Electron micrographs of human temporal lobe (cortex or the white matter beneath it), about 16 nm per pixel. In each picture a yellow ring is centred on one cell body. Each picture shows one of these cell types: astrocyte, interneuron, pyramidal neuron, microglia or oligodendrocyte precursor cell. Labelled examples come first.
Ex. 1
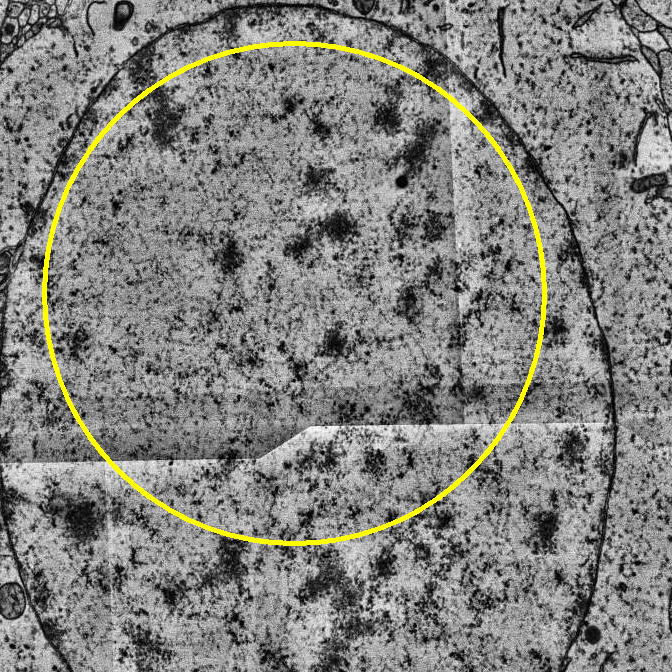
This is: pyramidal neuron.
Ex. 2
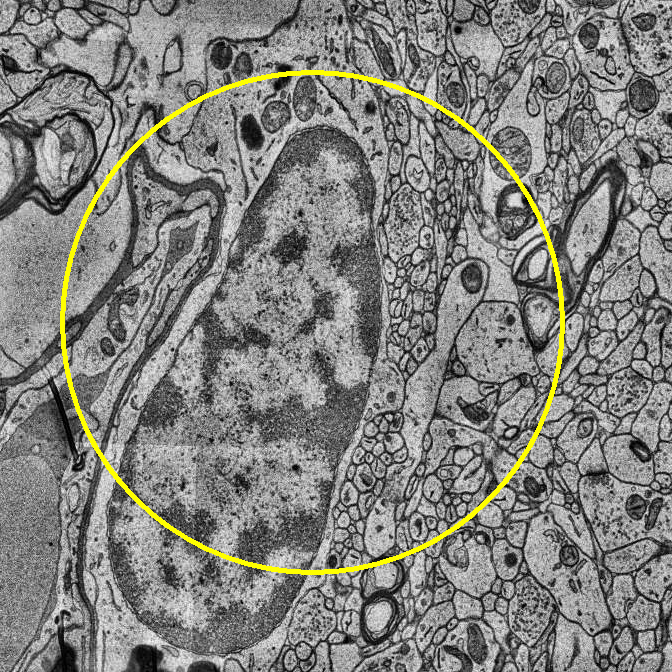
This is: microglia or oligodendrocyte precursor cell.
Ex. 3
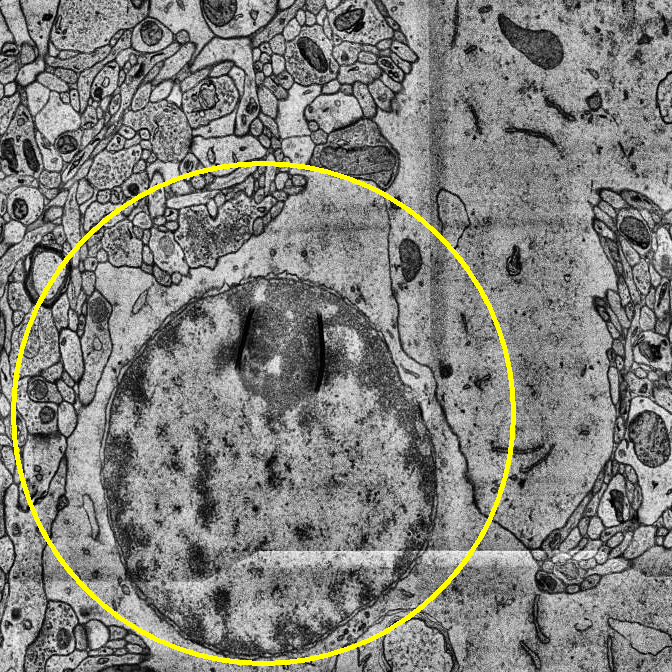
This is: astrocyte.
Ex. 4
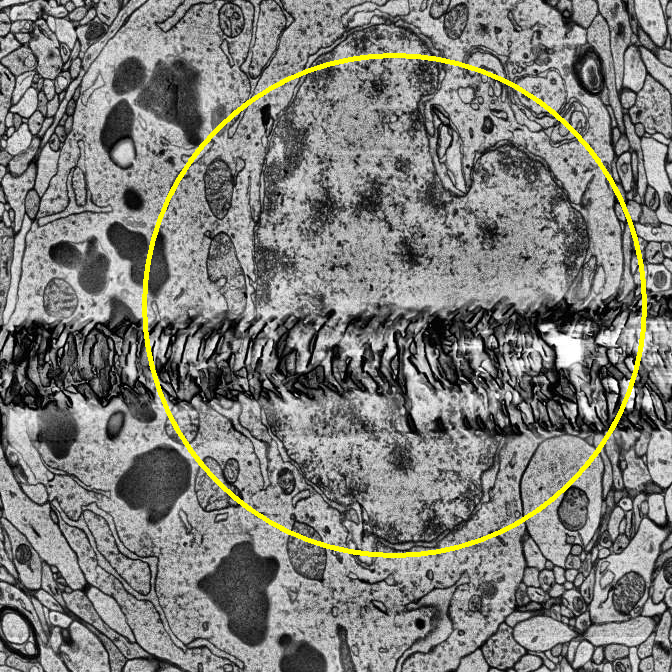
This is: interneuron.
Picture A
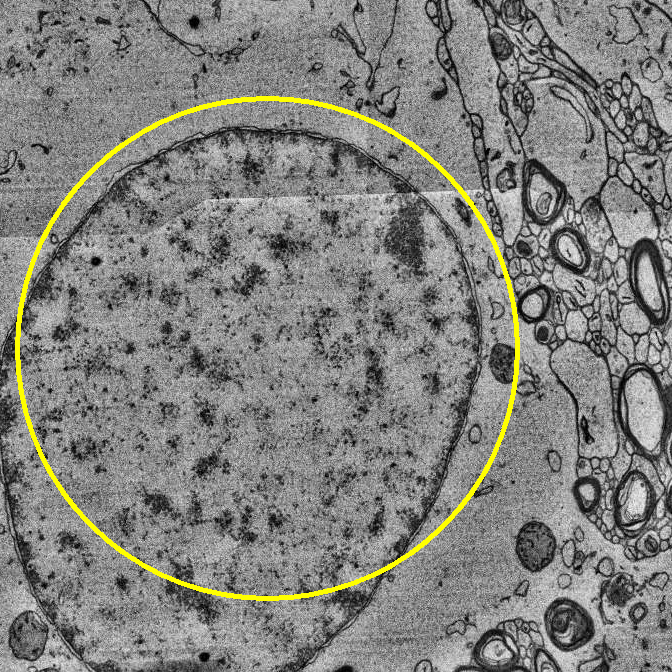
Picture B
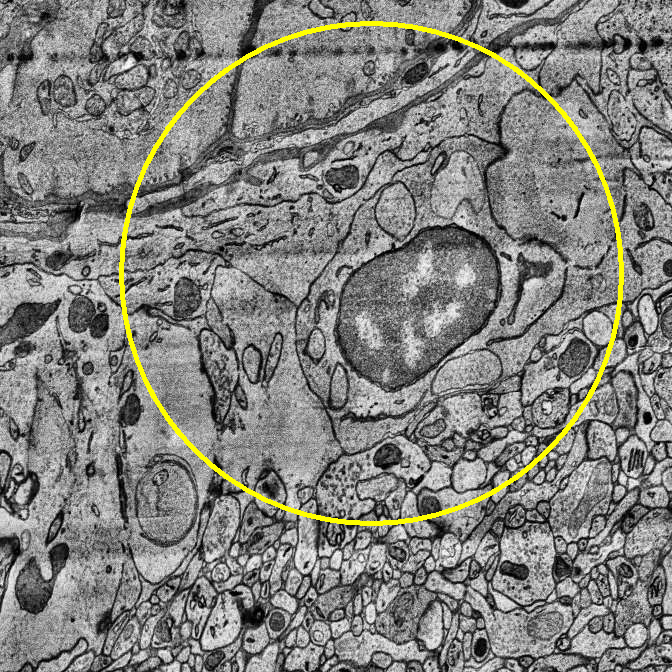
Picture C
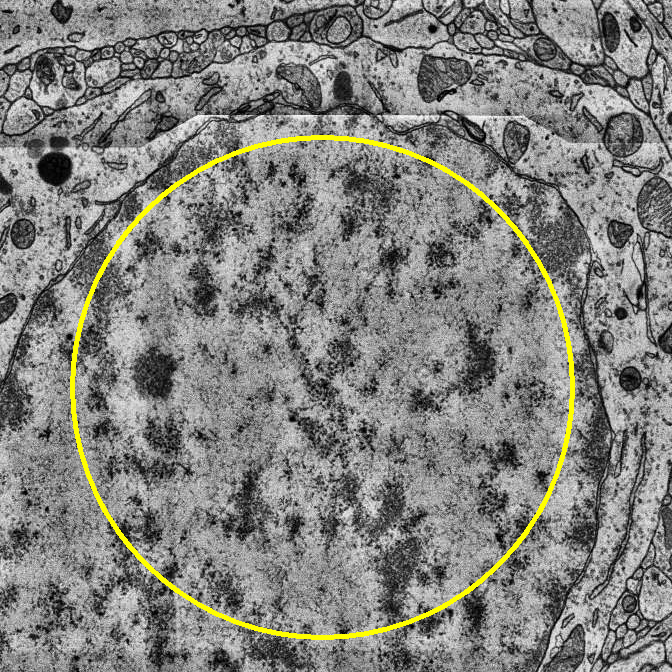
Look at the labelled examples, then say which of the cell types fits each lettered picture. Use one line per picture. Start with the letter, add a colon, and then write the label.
A: astrocyte.
B: microglia or oligodendrocyte precursor cell.
C: interneuron.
